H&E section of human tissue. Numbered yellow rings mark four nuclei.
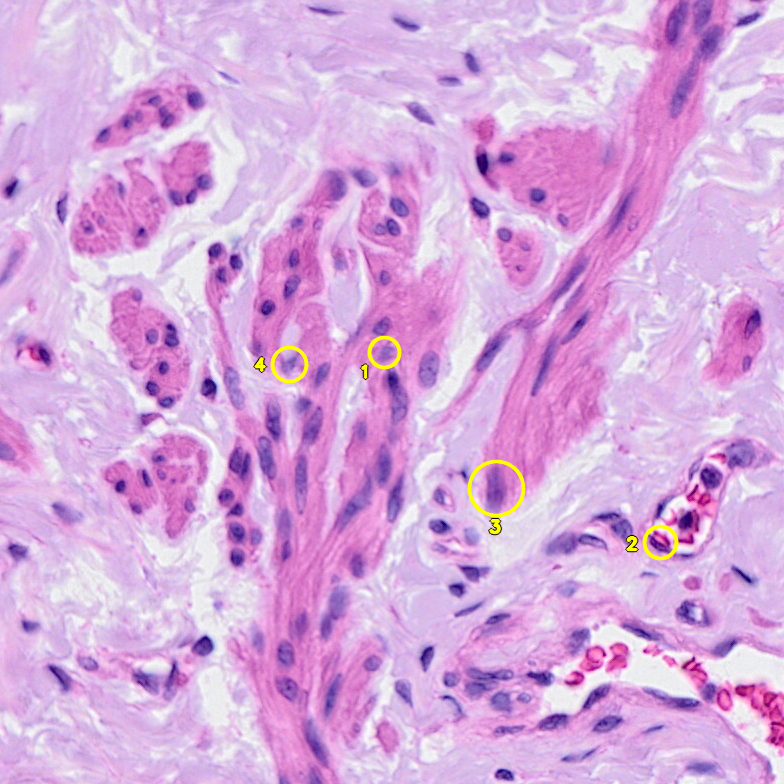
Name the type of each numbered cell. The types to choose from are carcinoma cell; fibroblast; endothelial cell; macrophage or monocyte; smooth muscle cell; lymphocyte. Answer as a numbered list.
1. smooth muscle cell
2. endothelial cell
3. smooth muscle cell
4. smooth muscle cell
